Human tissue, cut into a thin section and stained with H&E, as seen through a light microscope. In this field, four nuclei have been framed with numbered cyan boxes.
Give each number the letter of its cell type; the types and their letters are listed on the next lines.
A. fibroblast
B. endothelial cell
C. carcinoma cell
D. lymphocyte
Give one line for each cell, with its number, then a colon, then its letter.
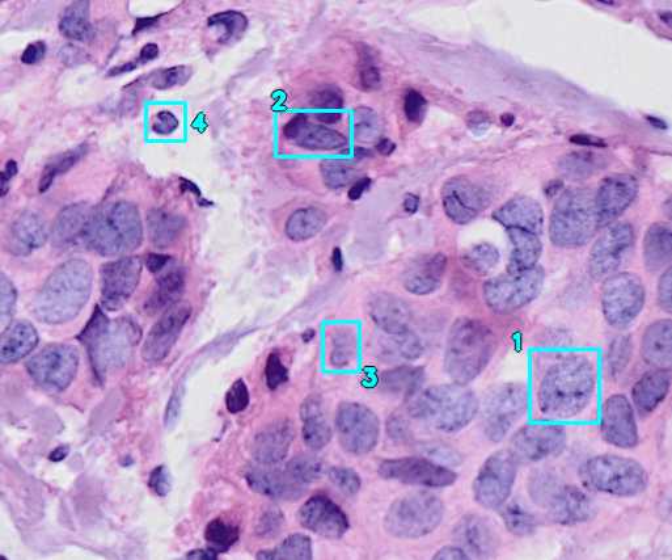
1: C
2: C
3: C
4: D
